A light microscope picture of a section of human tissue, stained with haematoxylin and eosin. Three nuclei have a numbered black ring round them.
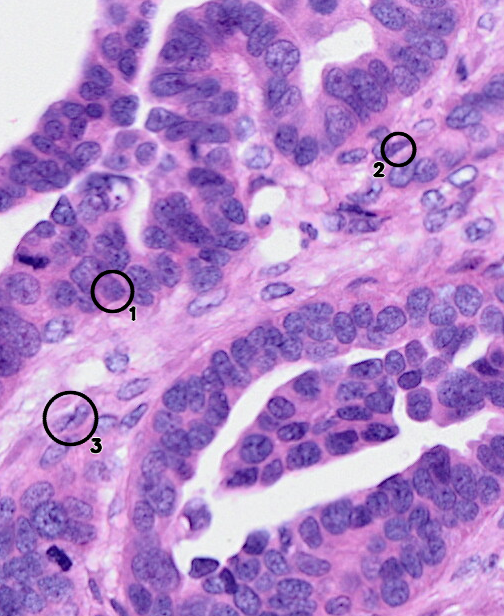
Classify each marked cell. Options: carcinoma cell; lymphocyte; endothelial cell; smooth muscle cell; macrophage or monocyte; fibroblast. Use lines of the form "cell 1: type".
cell 1: carcinoma cell
cell 2: fibroblast
cell 3: fibroblast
